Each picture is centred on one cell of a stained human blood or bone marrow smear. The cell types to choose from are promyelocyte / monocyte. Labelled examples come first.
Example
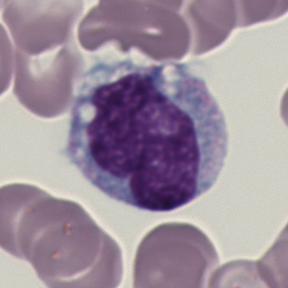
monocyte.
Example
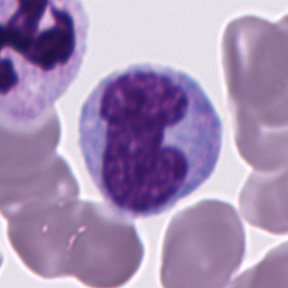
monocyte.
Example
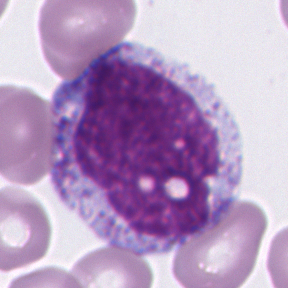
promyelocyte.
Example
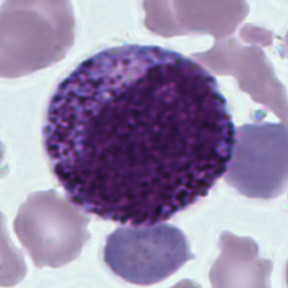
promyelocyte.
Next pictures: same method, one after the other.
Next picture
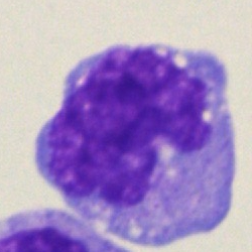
monocyte.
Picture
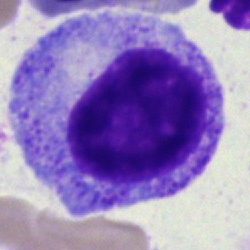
promyelocyte.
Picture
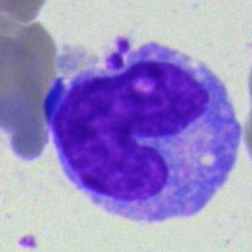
monocyte.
